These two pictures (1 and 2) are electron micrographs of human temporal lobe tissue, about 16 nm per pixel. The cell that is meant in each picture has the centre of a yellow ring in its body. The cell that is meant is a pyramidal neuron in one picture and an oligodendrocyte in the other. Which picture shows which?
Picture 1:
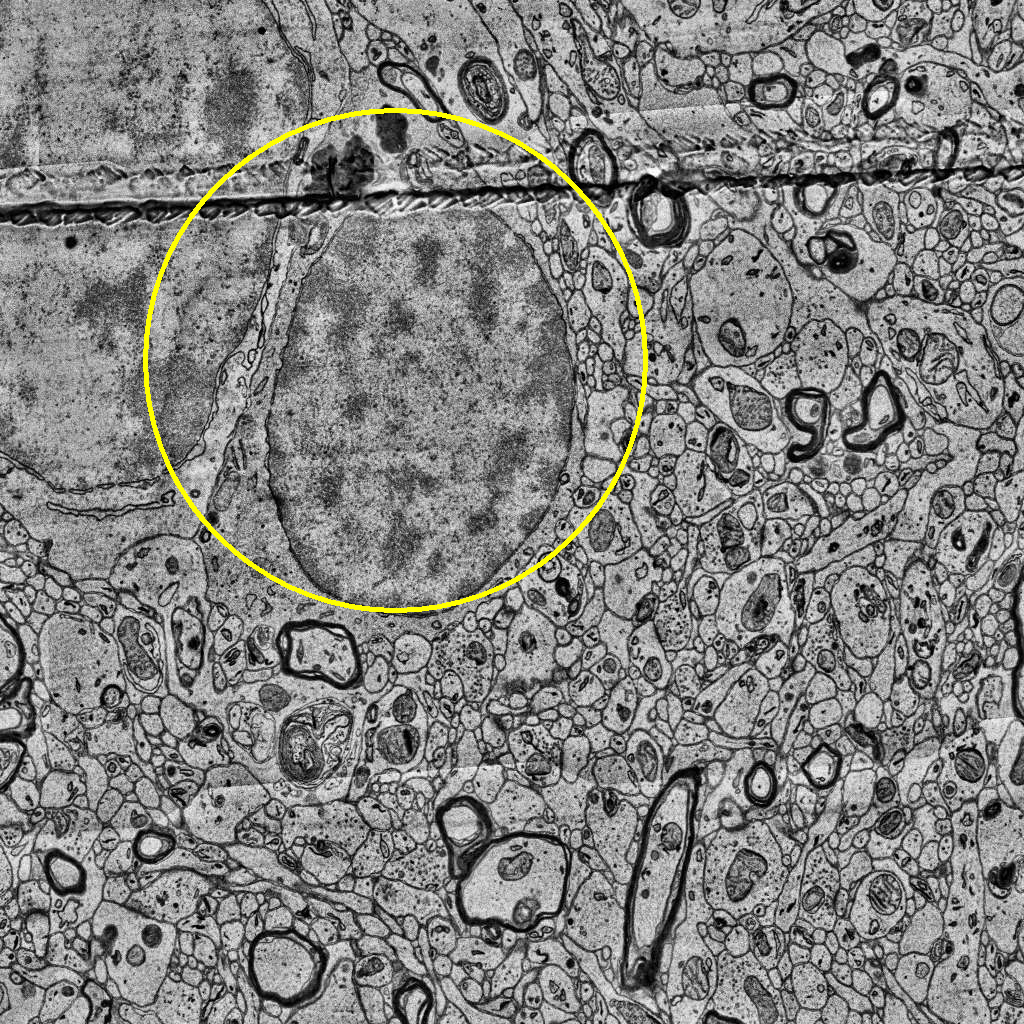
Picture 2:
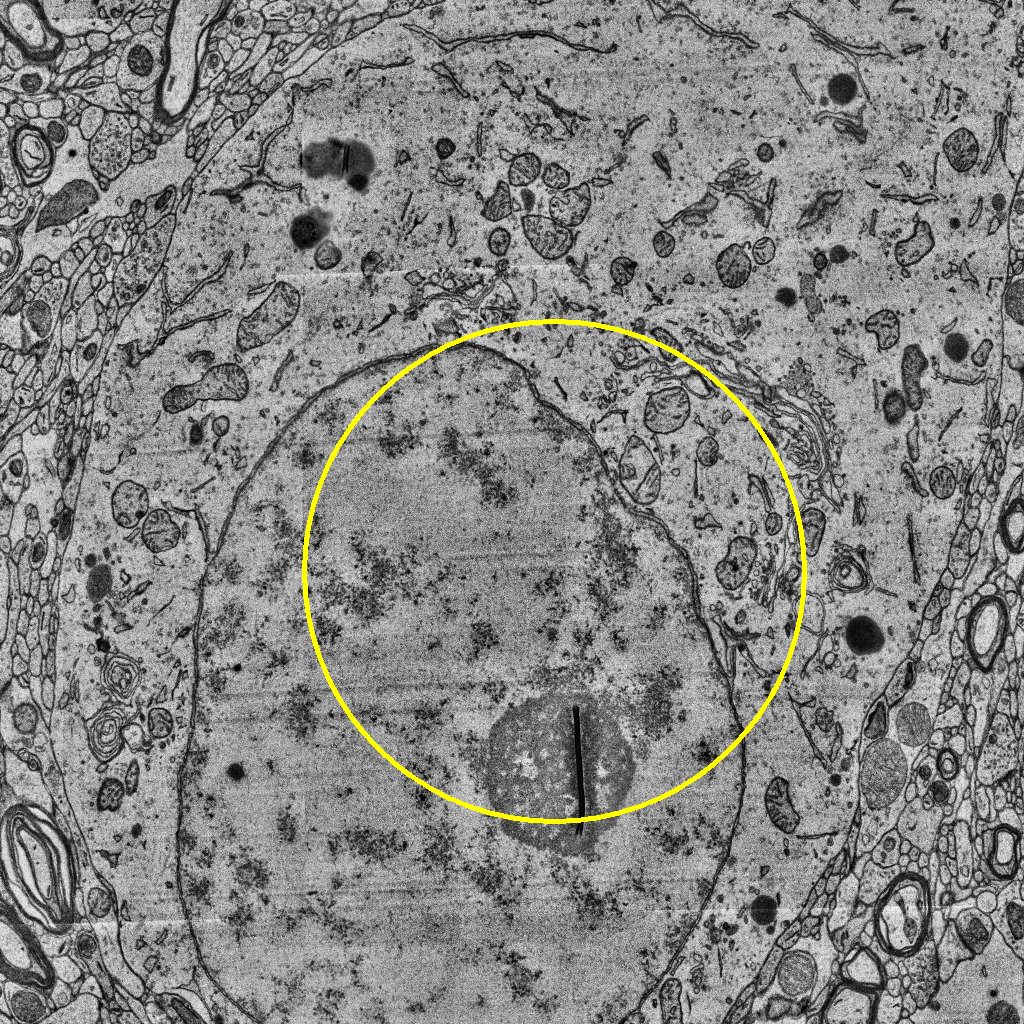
In picture 1 the cell is an oligodendrocyte; in picture 2, a pyramidal neuron.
